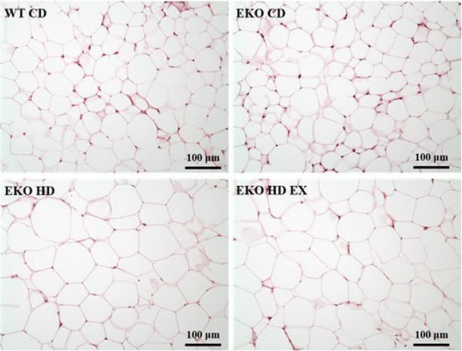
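Four fields of white adipose tissue show closely packed adipocytes, each a large, clear, rounded to polygonal space outlined by a thin pink rim. Small dark purple nuclei are few and lie flattened at the cell edges. Between the cells there is only scant pink tissue, giving the whole a honeycomb or mesh pattern. The adipocytes in the lower two fields look clearly larger than those in the upper two, which are smaller and more variable in size.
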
